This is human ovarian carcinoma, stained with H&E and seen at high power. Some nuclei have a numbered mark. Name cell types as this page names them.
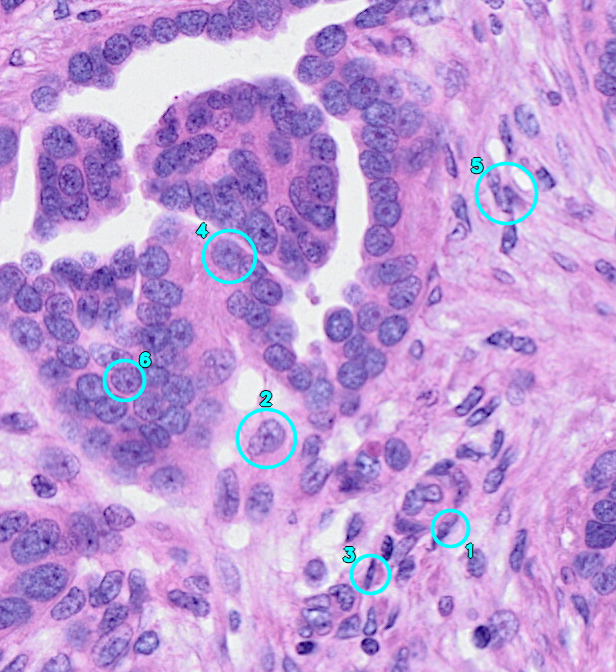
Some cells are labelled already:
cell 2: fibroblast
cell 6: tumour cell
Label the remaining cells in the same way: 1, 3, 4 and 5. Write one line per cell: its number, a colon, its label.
1: fibroblast
3: fibroblast
4: tumour cell
5: fibroblast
